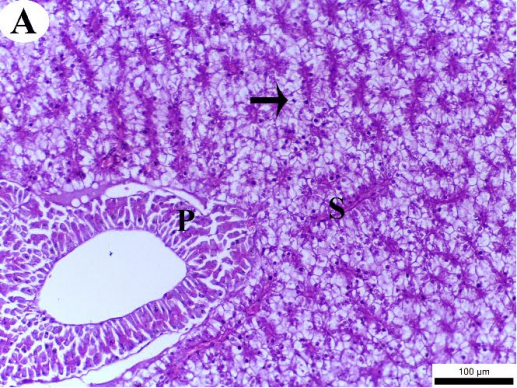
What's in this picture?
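Liver parenchyma in which hepatocytes are arranged in cords radiating between blood sinusoids, with pancreatic tissue surrounding a vessel at the lower left. The hepatocytes have pale, vacuolated cytoplasm and small dark nuclei, and purple strands mark where the cords meet the sinusoids. The pancreatic tissue forms a pink-purple ring of columnar-looking cells around the large empty vessel lumen.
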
